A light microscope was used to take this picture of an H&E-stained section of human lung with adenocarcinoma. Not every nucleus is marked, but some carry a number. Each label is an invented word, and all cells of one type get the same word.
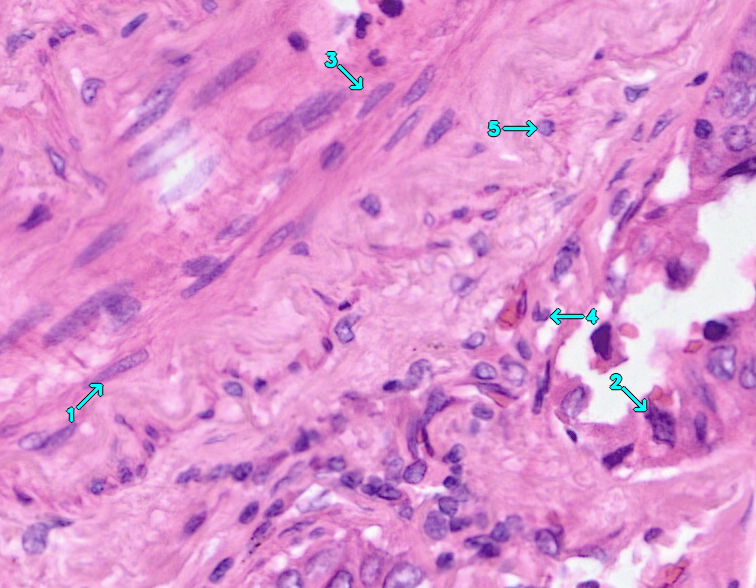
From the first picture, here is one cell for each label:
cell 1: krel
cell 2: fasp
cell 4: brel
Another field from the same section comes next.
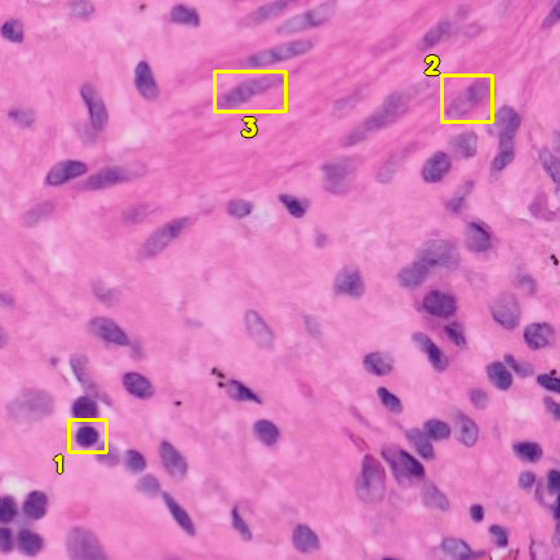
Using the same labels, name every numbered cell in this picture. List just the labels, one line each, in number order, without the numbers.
brel
krel
krel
